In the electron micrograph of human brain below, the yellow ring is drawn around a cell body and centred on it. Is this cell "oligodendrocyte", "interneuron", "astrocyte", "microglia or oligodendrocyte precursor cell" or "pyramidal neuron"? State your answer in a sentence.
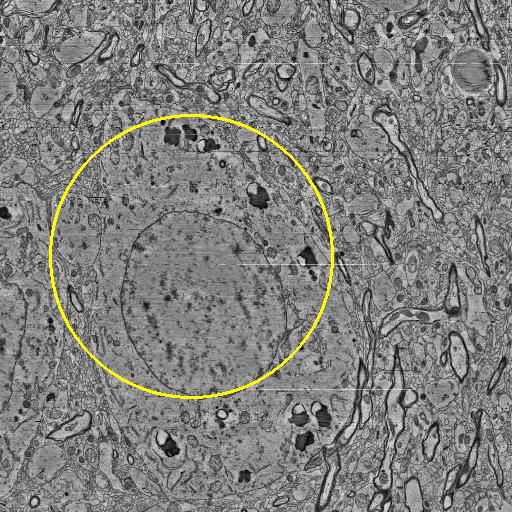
The cell in the middle of the ring is a pyramidal neuron.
